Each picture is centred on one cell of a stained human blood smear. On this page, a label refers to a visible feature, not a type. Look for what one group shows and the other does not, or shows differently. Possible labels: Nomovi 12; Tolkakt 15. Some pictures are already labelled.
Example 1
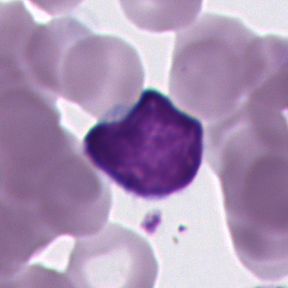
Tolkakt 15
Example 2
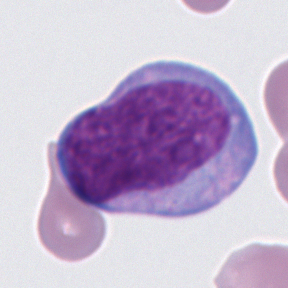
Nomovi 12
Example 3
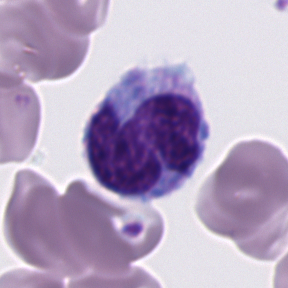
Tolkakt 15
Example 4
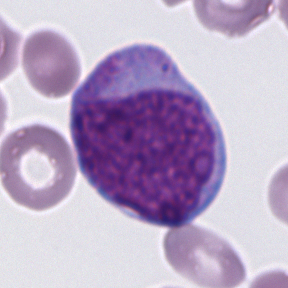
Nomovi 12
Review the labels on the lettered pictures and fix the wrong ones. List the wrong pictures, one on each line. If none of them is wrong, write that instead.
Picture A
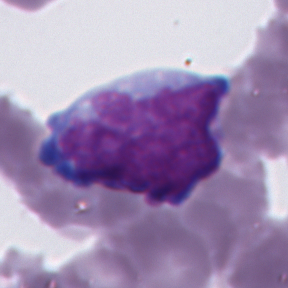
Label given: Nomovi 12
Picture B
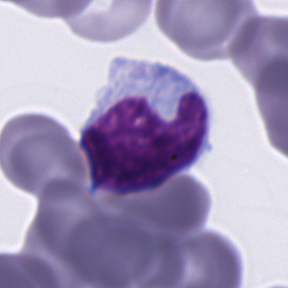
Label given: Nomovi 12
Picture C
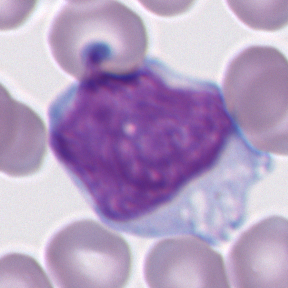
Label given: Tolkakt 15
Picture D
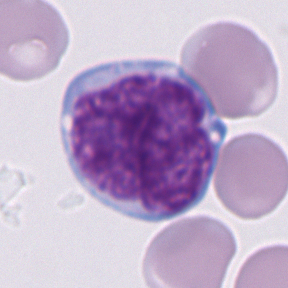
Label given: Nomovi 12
A should be Tolkakt 15, not Nomovi 12
B should be Tolkakt 15, not Nomovi 12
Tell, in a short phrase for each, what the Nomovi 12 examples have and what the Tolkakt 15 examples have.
Nomovi 12: smooth outline; Tolkakt 15: ragged outline or projections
